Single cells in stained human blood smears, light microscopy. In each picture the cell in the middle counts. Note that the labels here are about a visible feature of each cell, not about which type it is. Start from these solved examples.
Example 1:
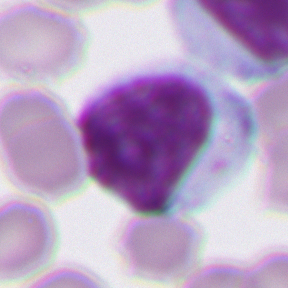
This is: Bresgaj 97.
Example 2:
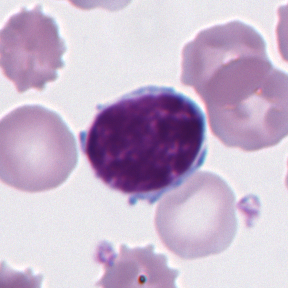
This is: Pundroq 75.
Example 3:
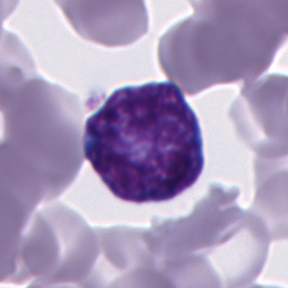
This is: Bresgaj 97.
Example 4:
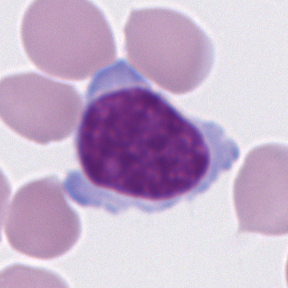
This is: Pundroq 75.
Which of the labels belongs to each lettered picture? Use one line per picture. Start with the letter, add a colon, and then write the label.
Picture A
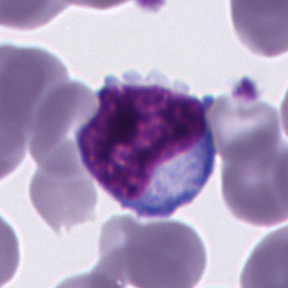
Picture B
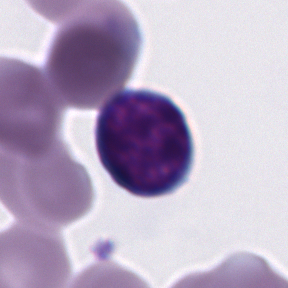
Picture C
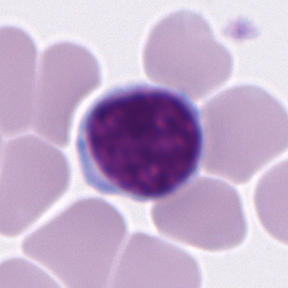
A: Pundroq 75.
B: Bresgaj 97.
C: Bresgaj 97.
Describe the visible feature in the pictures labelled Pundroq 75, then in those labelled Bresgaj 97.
In Pundroq 75: ragged outline or projections. In Bresgaj 97: smooth outline.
